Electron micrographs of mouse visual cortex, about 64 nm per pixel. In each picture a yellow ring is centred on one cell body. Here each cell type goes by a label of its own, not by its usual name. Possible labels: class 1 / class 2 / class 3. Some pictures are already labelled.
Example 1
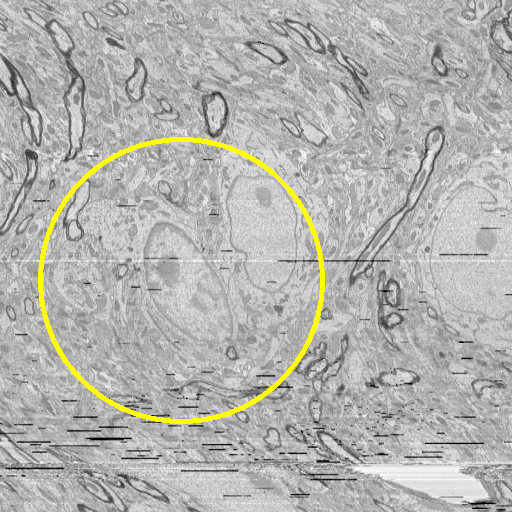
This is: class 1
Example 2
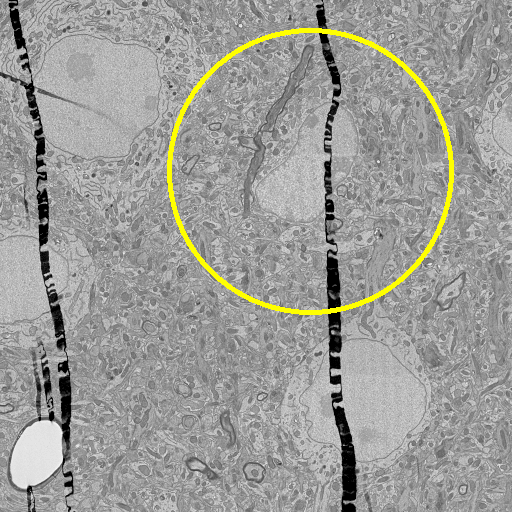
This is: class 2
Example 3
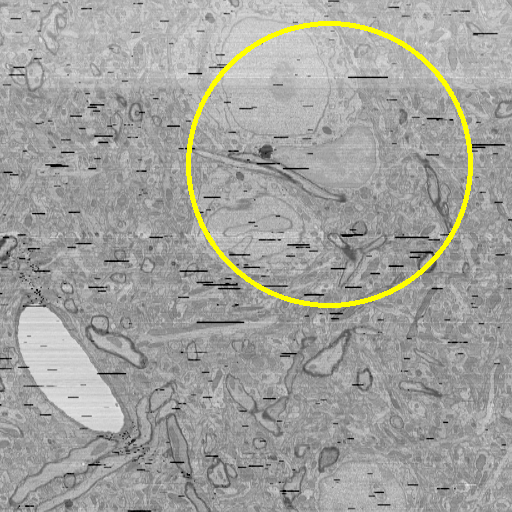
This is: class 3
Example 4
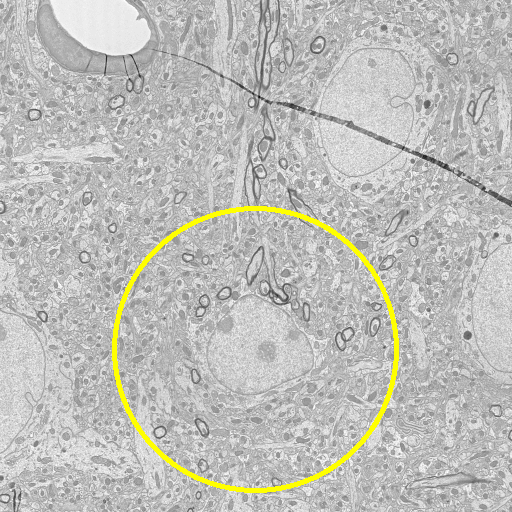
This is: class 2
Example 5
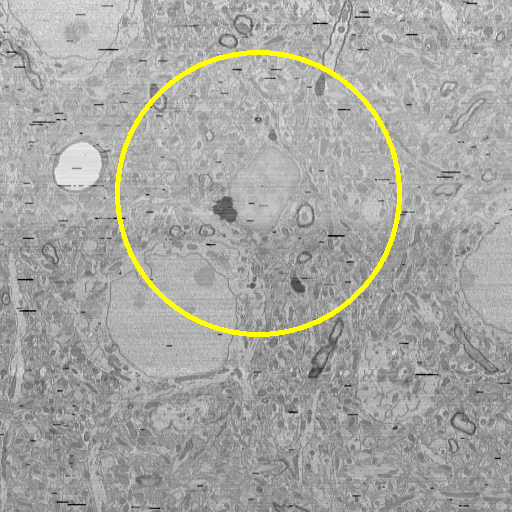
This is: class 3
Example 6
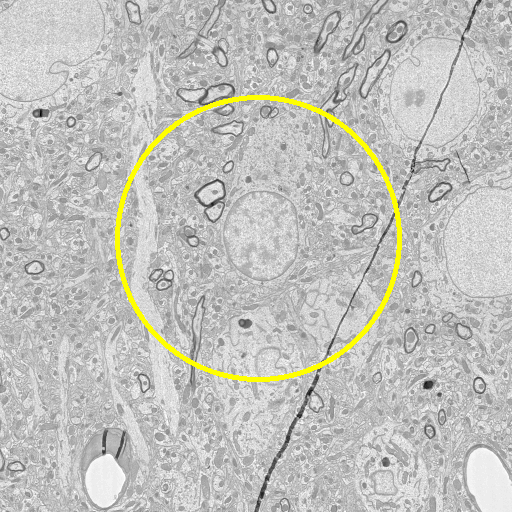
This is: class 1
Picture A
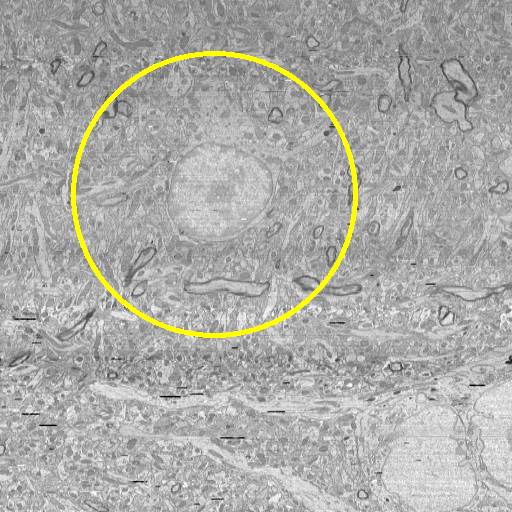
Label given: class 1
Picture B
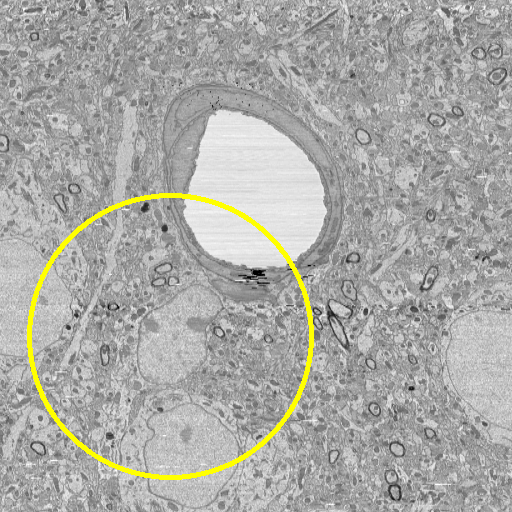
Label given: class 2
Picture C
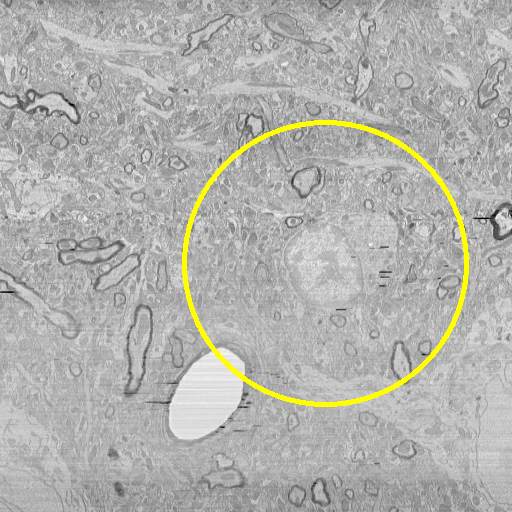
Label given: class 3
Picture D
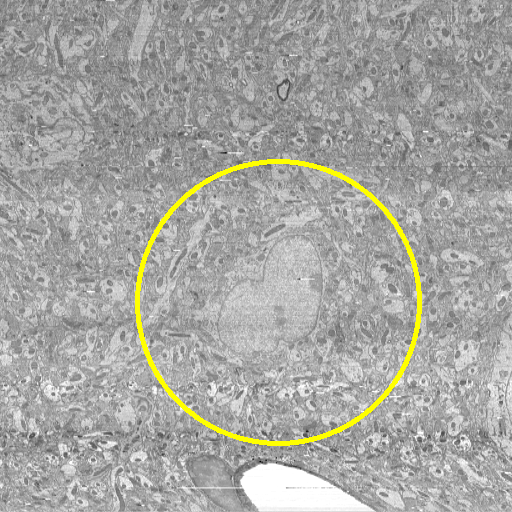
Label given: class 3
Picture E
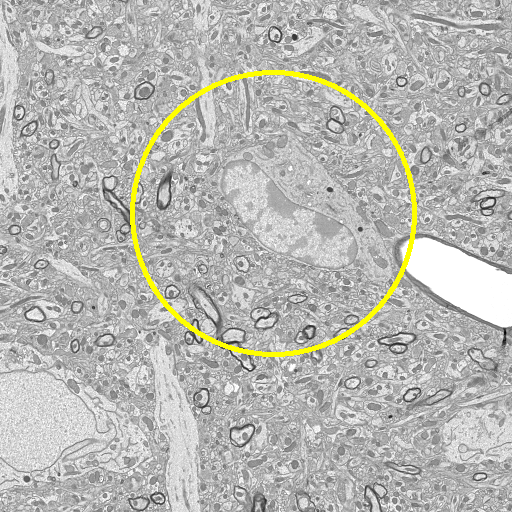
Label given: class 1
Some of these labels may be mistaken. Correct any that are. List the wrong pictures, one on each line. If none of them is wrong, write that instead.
C: class 1, not class 3
D: class 2, not class 3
